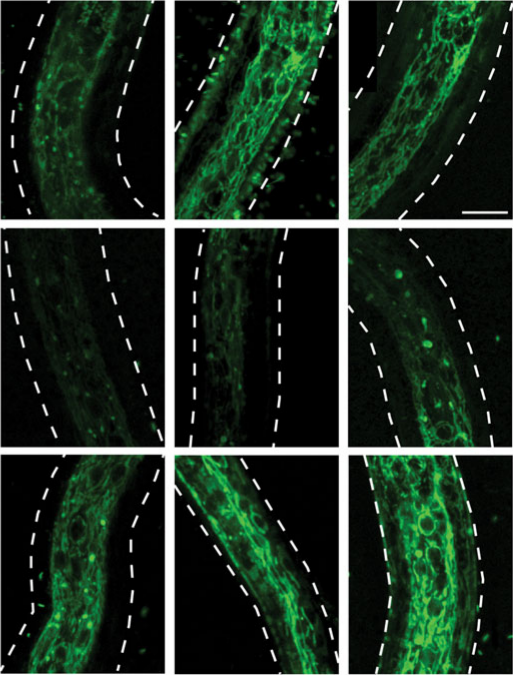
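In the dimmer fields the green is faint and scattered, with only sparse puncta and faint streaks inside the body outline. Some small bright green dots also lie in the field, a few of them outside the dashed outlines.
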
